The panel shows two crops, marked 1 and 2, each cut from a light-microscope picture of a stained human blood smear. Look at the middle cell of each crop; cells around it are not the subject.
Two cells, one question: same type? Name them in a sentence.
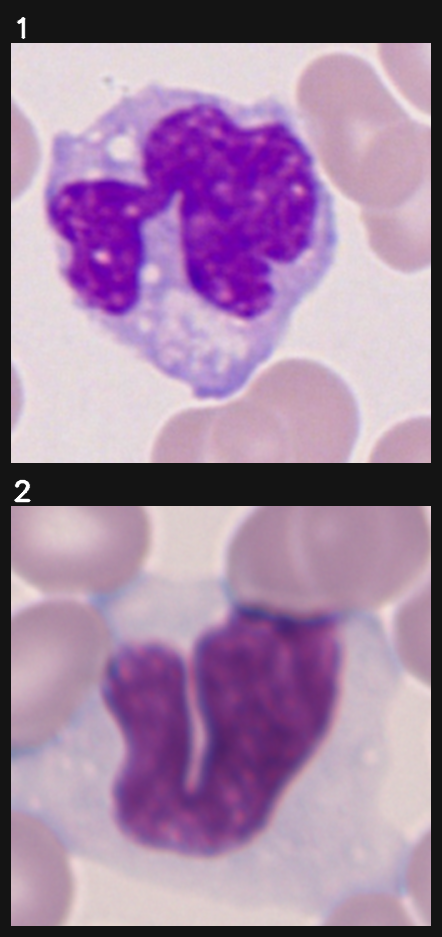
Yes, monocytes occupy the centre of both crops.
